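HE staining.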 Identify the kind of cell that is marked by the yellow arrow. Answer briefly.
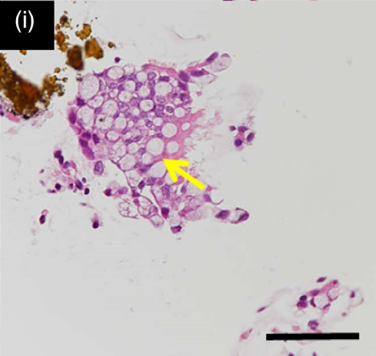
Goblet cells.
